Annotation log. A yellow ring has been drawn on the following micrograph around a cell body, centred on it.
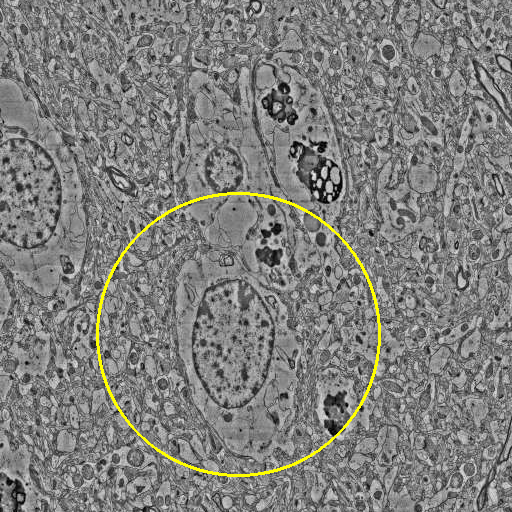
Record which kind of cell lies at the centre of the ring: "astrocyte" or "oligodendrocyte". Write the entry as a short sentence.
The cell the ring is centred on is an astrocyte.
